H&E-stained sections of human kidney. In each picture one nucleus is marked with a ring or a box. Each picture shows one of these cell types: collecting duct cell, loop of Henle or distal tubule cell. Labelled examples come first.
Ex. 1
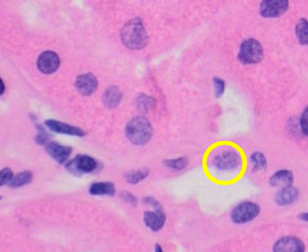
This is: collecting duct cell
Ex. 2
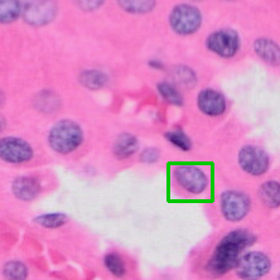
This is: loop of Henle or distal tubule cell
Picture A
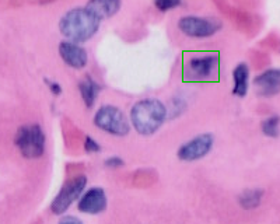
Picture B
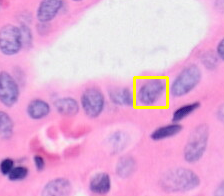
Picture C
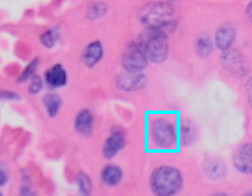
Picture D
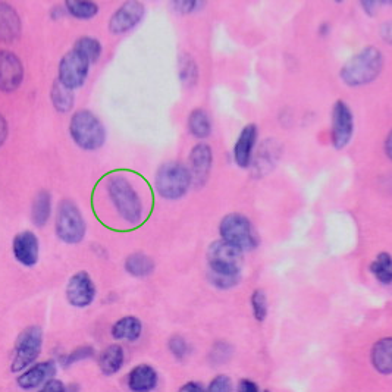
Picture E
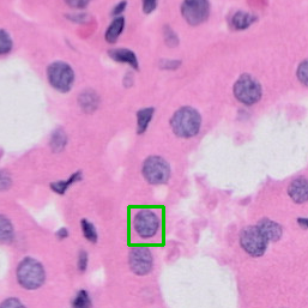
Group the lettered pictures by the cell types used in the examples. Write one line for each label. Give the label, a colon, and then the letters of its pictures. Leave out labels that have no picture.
collecting duct cell: A, B, C, D
loop of Henle or distal tubule cell: E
